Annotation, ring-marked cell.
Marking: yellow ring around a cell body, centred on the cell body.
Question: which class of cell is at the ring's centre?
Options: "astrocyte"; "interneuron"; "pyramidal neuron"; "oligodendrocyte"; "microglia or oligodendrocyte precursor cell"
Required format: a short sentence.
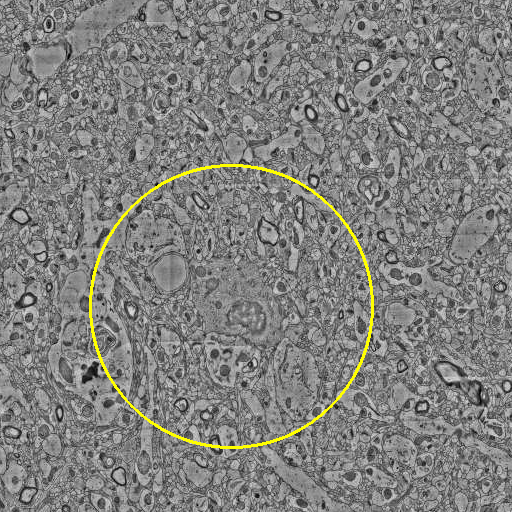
At the ring's centre is an oligodendrocyte.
